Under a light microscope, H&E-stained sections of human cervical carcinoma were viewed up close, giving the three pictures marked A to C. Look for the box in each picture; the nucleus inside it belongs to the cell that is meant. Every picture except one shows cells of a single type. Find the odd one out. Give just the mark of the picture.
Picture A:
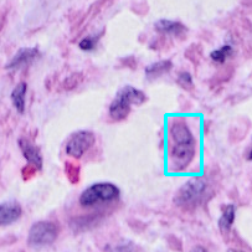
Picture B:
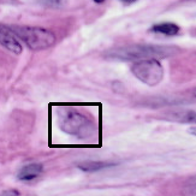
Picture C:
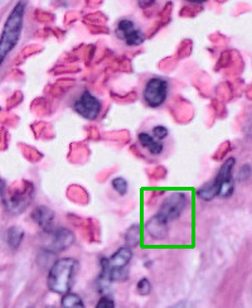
C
